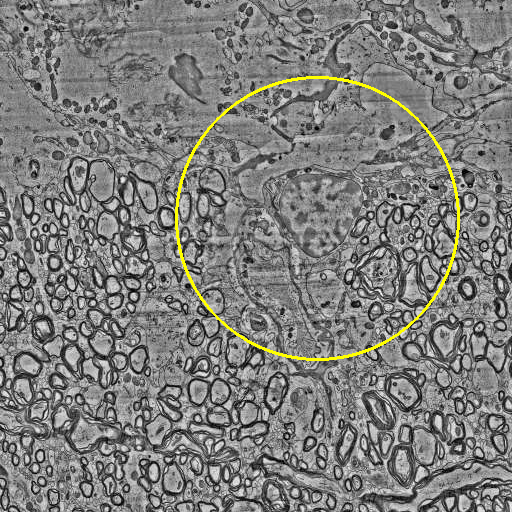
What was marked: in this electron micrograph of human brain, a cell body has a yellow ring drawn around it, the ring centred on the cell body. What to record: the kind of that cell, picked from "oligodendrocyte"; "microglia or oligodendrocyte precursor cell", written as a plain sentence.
The centred cell is a microglial cell or oligodendrocyte precursor cell.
